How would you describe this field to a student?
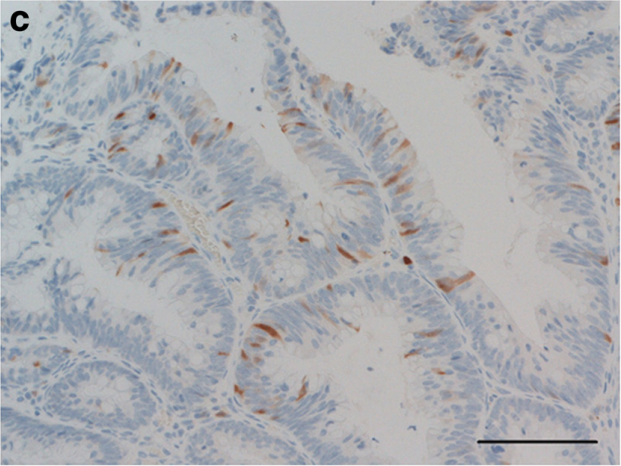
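The glands are elongated and closely packed, separated by thin strands of stroma. The nuclei are blue, elongated and crowded into several layers along the gland walls. Only scattered single cells within the epithelium take up a brown stain, which fills slender columnar cells, while most tumor cells remain blue.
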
